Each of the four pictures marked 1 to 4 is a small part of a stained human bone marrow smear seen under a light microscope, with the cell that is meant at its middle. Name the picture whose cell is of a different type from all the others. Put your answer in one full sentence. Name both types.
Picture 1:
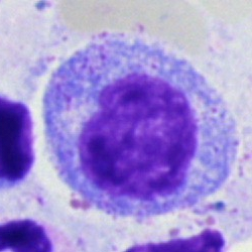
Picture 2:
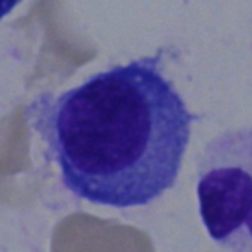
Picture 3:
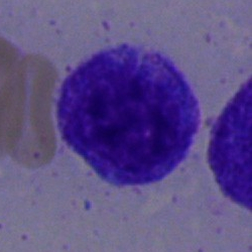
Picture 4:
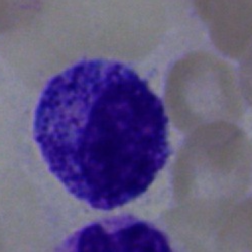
All pictures except 2 show promyelocytes; picture 2 shows a plasma cell.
